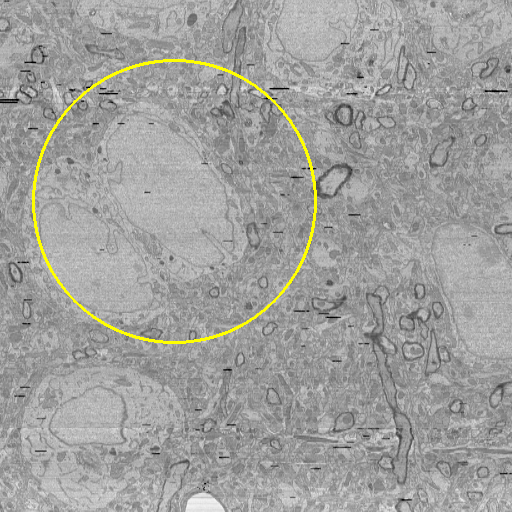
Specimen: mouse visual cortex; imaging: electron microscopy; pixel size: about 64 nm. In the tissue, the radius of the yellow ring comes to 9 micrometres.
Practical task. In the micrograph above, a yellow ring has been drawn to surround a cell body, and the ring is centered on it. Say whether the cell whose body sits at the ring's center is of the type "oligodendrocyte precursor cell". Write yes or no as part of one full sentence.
No, the cell at the center of the ring above is of another type.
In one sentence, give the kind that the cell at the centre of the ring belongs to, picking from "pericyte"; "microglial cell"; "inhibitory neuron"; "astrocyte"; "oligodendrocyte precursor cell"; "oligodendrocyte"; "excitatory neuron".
It is an inhibitory neuron that the ring is centred on.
